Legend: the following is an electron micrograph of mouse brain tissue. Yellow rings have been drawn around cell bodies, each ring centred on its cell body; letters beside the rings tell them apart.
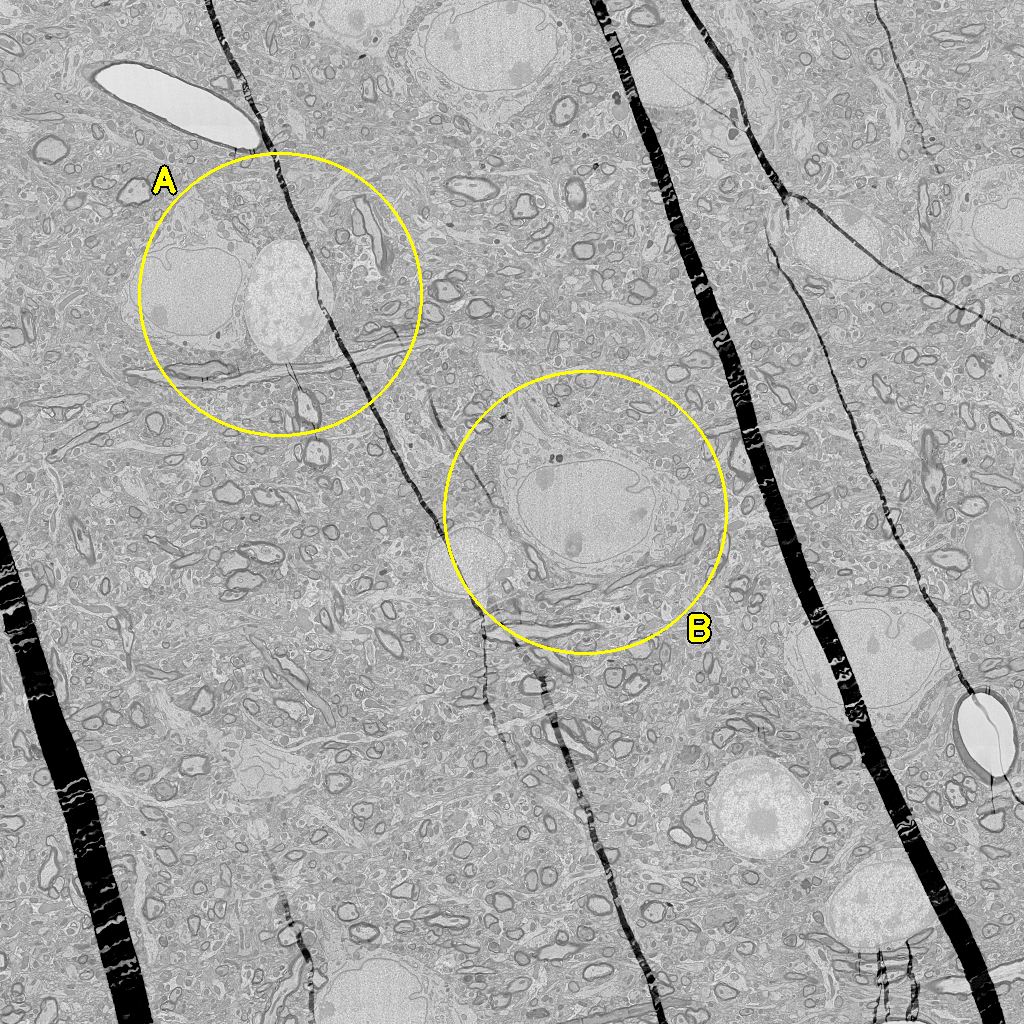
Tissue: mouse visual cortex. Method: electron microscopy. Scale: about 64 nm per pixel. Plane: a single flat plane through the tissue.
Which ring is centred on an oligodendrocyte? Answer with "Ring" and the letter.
Ring A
